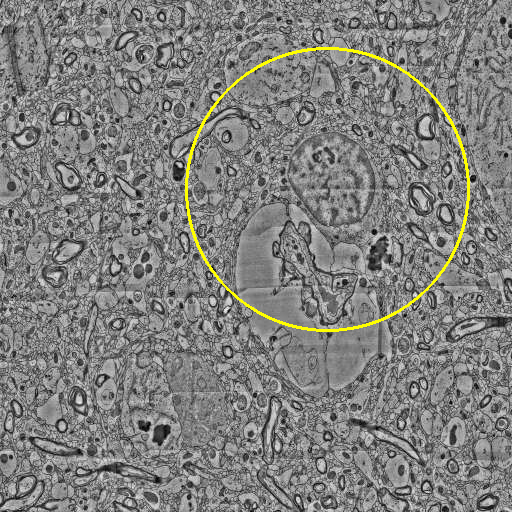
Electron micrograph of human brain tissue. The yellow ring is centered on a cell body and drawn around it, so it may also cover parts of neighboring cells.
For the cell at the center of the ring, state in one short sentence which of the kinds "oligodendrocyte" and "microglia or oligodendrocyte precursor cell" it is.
This ring is centered on an oligodendrocyte.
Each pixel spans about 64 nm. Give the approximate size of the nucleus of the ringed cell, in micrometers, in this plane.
Roughly 7 by 5 micrometres in this plane, for the nucleus of the ringed cell.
